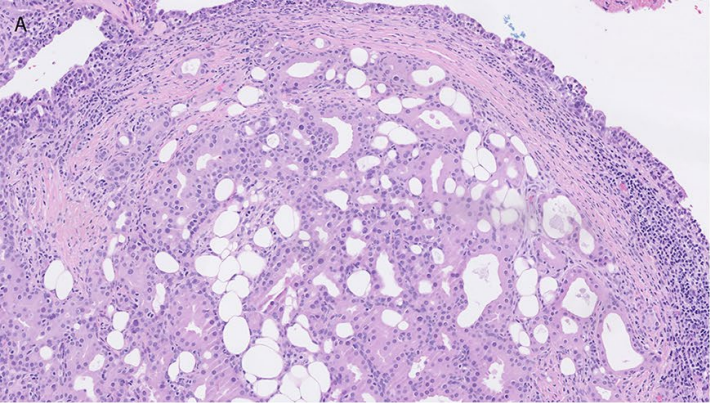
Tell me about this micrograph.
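This is a well circumscribed glandular tumour lying beneath the surface epithelium of the mucosa. It is made of numerous glands with rounded and angular lumens, packed back to back in places, lined by cells with pink cytoplasm. A band of fibrous stroma with scattered small dark cells surrounds the tumour and separates it from the overlying lining.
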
